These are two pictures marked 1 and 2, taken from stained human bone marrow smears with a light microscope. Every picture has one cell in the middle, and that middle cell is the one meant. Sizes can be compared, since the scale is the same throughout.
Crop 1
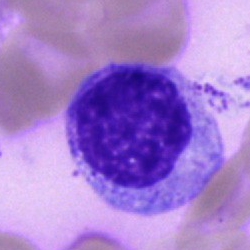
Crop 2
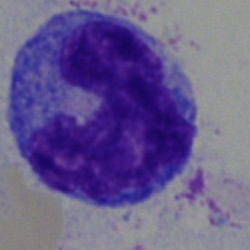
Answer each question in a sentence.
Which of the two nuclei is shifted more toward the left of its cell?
The nucleus in crop 1 lies further toward the left of its cell.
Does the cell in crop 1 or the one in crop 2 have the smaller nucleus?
The nucleus in crop 1 is smaller; the one in crop 2 has about 1.5 times its area.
